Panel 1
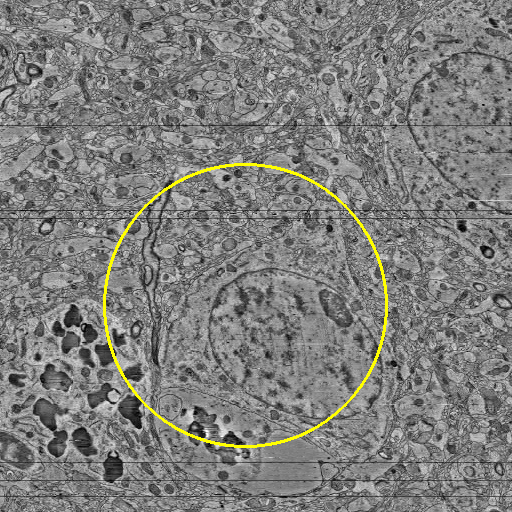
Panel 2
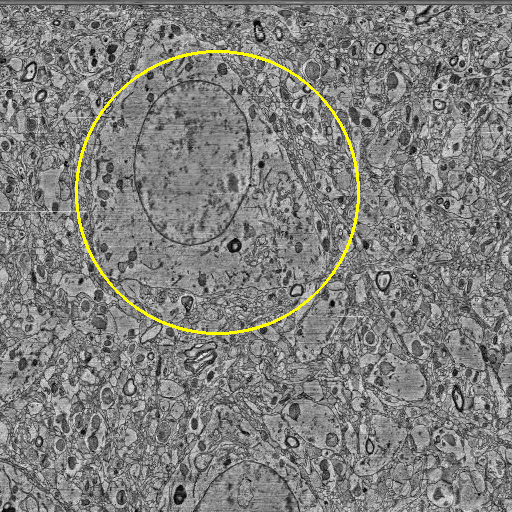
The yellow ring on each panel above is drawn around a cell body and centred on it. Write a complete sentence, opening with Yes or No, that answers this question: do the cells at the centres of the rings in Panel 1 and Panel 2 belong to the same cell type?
Yes, both cells belong to the same cell type.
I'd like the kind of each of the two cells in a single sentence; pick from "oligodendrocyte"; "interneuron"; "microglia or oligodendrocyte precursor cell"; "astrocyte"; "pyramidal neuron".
The second cell is a pyramidal neuron, just as the first is.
